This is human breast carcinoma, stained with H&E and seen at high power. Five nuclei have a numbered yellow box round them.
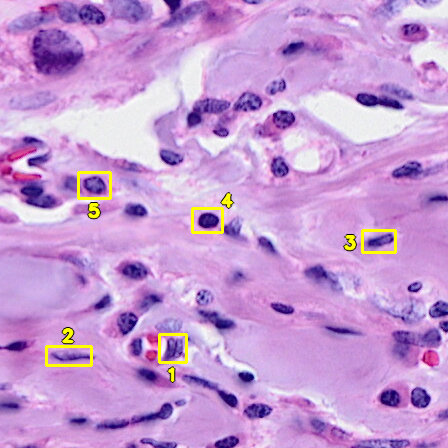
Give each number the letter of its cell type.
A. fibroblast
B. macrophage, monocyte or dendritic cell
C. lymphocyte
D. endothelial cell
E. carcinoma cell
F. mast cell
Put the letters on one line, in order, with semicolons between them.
D; A; C; C; F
